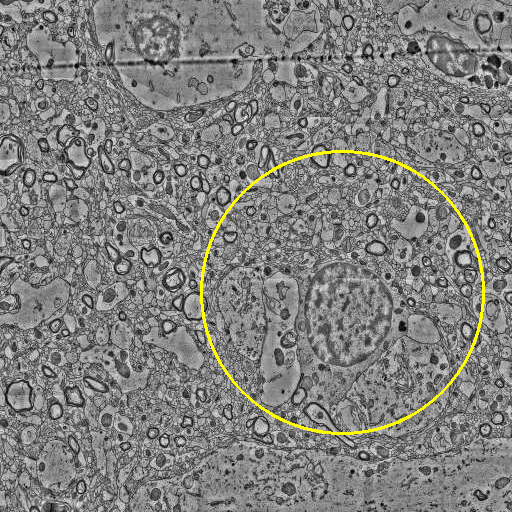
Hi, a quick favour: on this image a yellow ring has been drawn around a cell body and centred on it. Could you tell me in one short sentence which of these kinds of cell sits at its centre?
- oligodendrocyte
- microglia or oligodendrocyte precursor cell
The ring is centred on an oligodendrocyte.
